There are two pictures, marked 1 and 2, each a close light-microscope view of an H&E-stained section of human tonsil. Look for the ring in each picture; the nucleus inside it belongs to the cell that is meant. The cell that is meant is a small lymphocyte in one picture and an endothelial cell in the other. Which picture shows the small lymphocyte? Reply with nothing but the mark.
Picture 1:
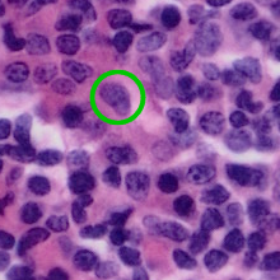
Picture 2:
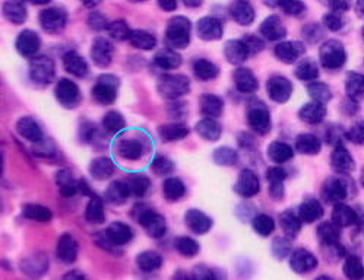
2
